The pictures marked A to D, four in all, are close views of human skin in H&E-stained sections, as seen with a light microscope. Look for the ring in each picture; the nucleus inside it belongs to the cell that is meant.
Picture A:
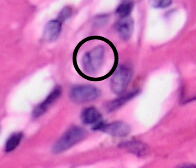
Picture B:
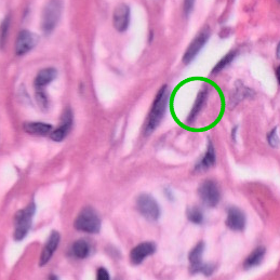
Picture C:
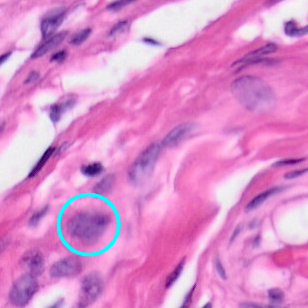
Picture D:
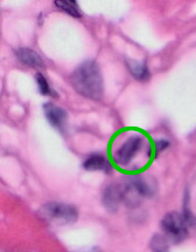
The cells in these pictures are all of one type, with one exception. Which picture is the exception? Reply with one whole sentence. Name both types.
The different one is picture C; it shows a fibroblast, whereas all the others show endothelial cells.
